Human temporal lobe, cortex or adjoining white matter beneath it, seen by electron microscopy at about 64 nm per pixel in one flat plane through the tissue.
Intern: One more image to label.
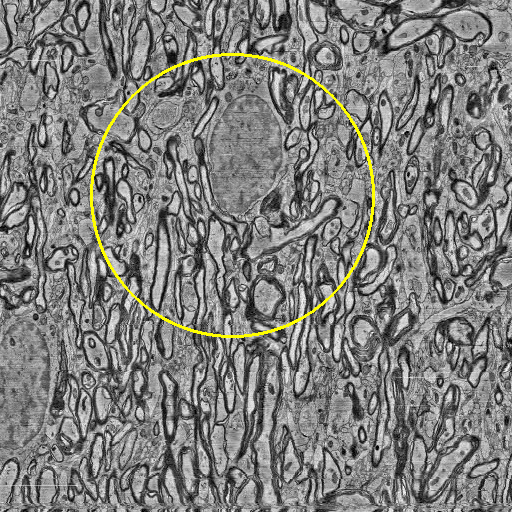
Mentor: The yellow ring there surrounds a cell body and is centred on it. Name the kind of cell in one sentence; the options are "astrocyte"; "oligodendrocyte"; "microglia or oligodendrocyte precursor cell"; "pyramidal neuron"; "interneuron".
The ring marks the cell body of an oligodendrocyte.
